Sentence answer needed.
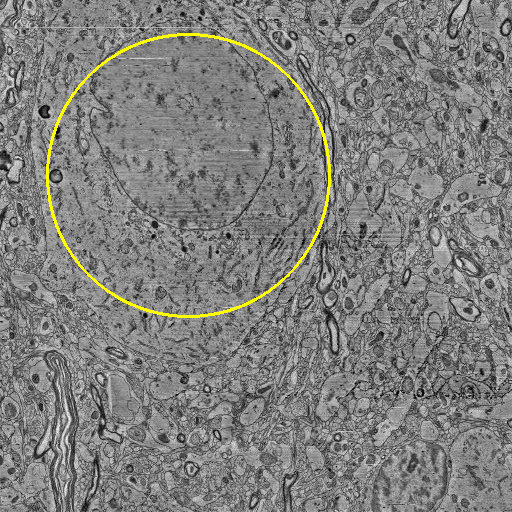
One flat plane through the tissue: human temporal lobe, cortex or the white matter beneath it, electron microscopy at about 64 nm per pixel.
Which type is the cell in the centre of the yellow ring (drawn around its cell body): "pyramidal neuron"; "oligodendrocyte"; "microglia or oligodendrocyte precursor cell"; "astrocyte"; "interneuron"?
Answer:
In the centre of the yellow ring is a pyramidal neuron.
